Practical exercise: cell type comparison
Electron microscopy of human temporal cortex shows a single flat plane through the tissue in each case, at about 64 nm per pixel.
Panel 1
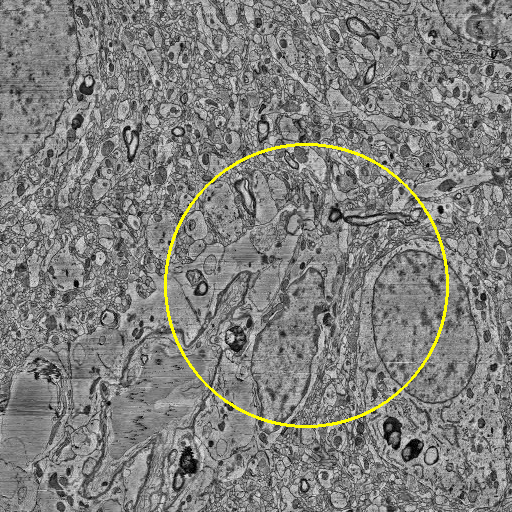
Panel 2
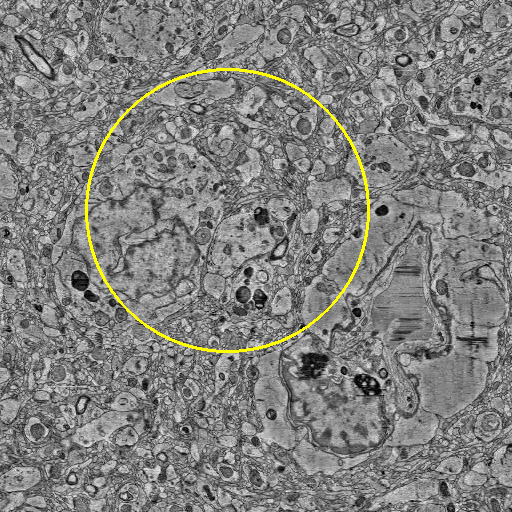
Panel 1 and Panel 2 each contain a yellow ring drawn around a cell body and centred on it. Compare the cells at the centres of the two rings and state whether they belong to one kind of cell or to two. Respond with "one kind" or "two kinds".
one kind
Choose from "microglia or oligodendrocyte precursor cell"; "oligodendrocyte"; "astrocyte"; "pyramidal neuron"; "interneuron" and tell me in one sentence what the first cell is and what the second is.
The first and the second cell are each a microglial cell or oligodendrocyte precursor cell.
